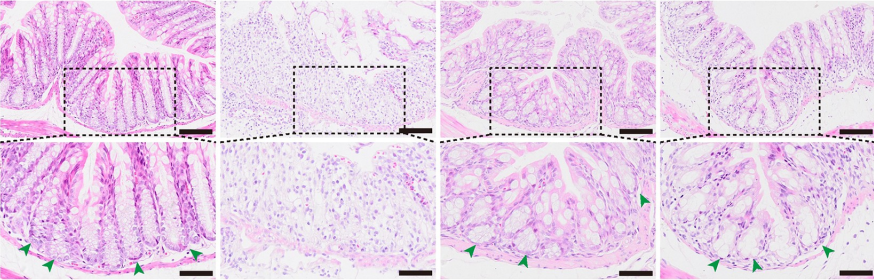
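Colonic mucosa stained pink and purple, with straight tubular crypts lined by columnar epithelium whose nuclei sit at the base and whose many pale, clear vacuoles are mucus-filled goblet cells. The crypt bases rest on the thin muscularis mucosae above a pink muscle layer. In one column the regular crypts have disappeared, the mucosa is replaced by a disordered sheet crowded with small dark nuclei, and the surface is irregular. In the other columns the crypts are preserved, though in some they are less regular and spaced more widely.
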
